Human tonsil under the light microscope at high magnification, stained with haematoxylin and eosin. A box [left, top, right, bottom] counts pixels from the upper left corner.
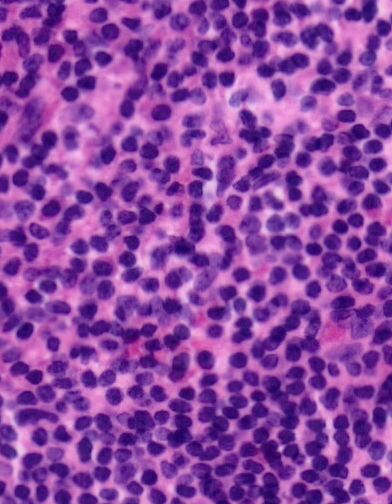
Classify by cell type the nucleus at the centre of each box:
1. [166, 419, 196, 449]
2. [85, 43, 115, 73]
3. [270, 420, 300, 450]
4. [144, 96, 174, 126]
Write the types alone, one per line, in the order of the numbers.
small lymphocyte
small lymphocyte
small lymphocyte
plasma cell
